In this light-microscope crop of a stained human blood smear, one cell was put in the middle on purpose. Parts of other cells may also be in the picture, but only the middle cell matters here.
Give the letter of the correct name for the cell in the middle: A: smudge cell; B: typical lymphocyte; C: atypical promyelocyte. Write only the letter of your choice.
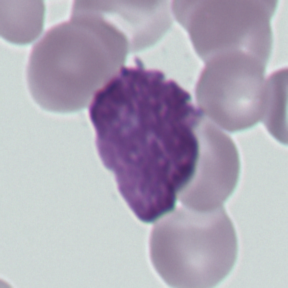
A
